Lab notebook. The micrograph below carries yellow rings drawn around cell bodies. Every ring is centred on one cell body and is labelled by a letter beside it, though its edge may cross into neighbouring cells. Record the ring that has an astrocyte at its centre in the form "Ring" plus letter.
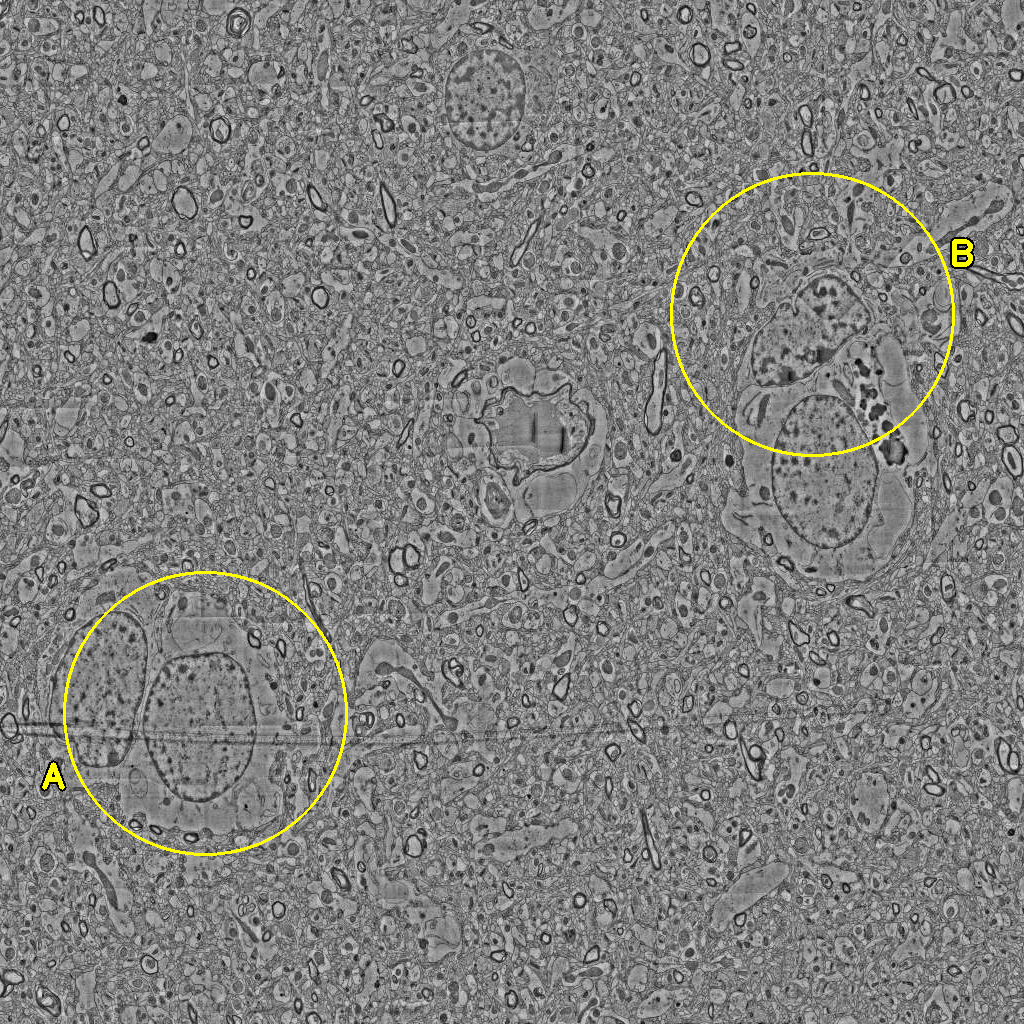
Ring A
